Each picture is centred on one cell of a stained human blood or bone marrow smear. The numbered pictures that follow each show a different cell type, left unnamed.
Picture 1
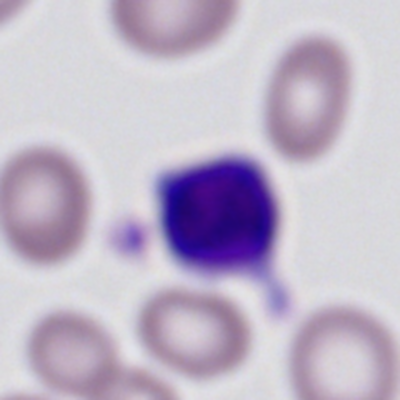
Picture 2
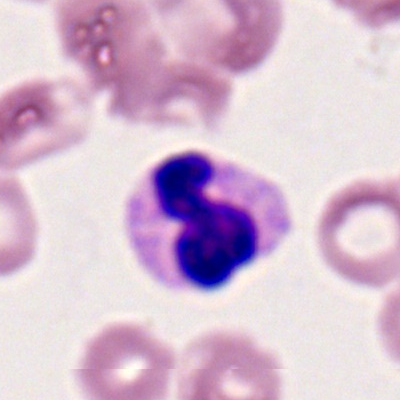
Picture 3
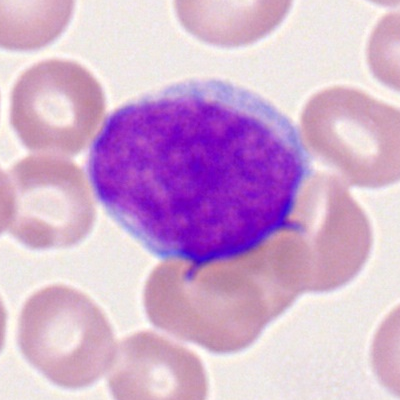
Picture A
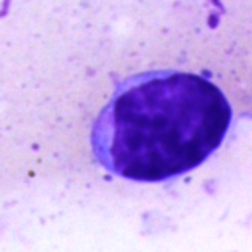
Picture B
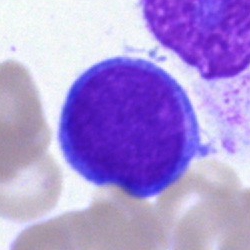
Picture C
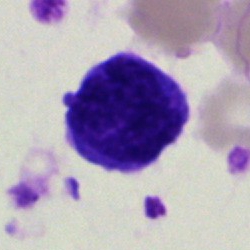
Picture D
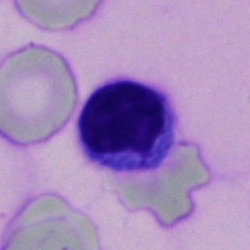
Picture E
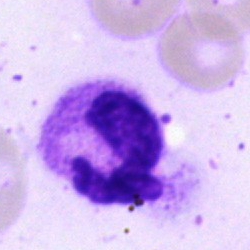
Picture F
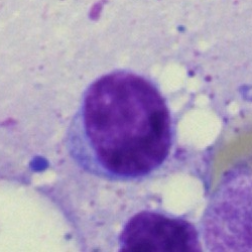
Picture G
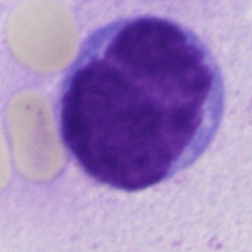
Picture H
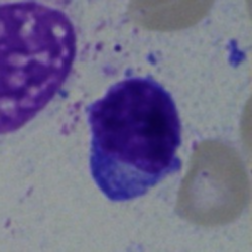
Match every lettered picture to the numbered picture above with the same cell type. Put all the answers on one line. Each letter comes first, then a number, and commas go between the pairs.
A 1, B 3, C 3, D 1, E 2, F 1, G 3, H 1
